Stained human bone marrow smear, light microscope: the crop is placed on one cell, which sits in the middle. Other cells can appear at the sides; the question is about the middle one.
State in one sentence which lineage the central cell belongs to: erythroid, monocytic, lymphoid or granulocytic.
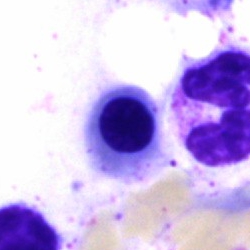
The lineage to which the central cell belongs is the erythroid lineage.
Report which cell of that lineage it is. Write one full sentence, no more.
Within this crop, an erythroblast occupies the central position.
